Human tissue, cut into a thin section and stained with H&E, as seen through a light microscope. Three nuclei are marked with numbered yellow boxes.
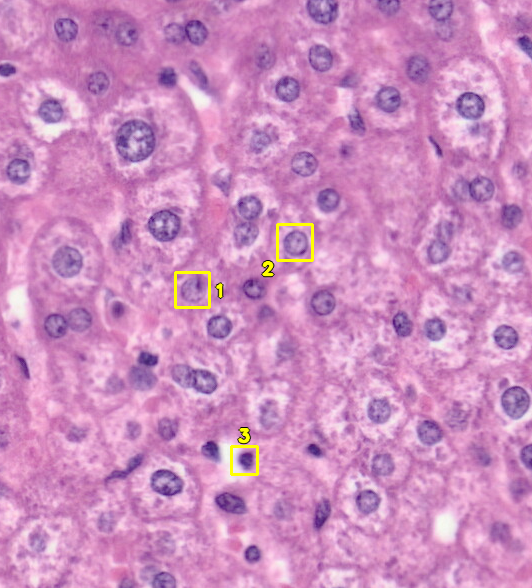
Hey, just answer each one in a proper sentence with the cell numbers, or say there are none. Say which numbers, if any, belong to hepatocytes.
Cells 1 and 2 are recognised here as hepatocytes.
